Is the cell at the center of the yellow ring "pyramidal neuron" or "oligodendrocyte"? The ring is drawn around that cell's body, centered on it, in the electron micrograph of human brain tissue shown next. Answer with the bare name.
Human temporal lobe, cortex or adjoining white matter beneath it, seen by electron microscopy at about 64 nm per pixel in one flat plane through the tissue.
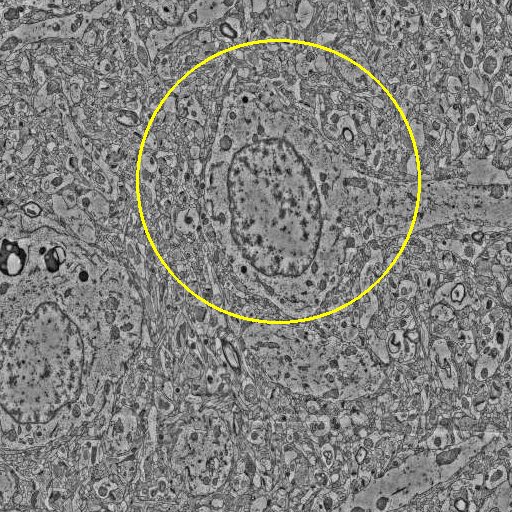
pyramidal neuron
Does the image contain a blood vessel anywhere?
No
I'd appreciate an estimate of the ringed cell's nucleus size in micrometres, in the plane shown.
Roughly 9 micrometres by 6 micrometres, so the nucleus is clearly longer than it is wide in this plane.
